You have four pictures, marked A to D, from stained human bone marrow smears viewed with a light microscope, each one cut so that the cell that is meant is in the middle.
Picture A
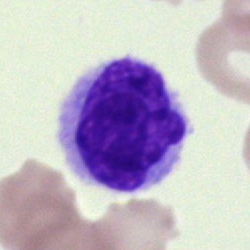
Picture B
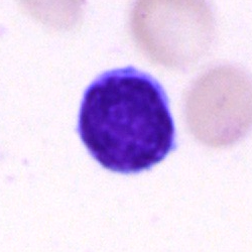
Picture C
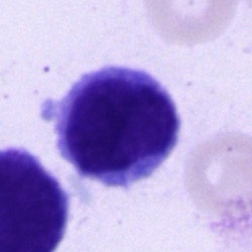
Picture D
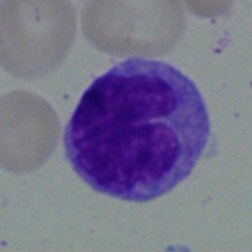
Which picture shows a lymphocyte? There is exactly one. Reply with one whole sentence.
The cell in picture B is the lymphocyte.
